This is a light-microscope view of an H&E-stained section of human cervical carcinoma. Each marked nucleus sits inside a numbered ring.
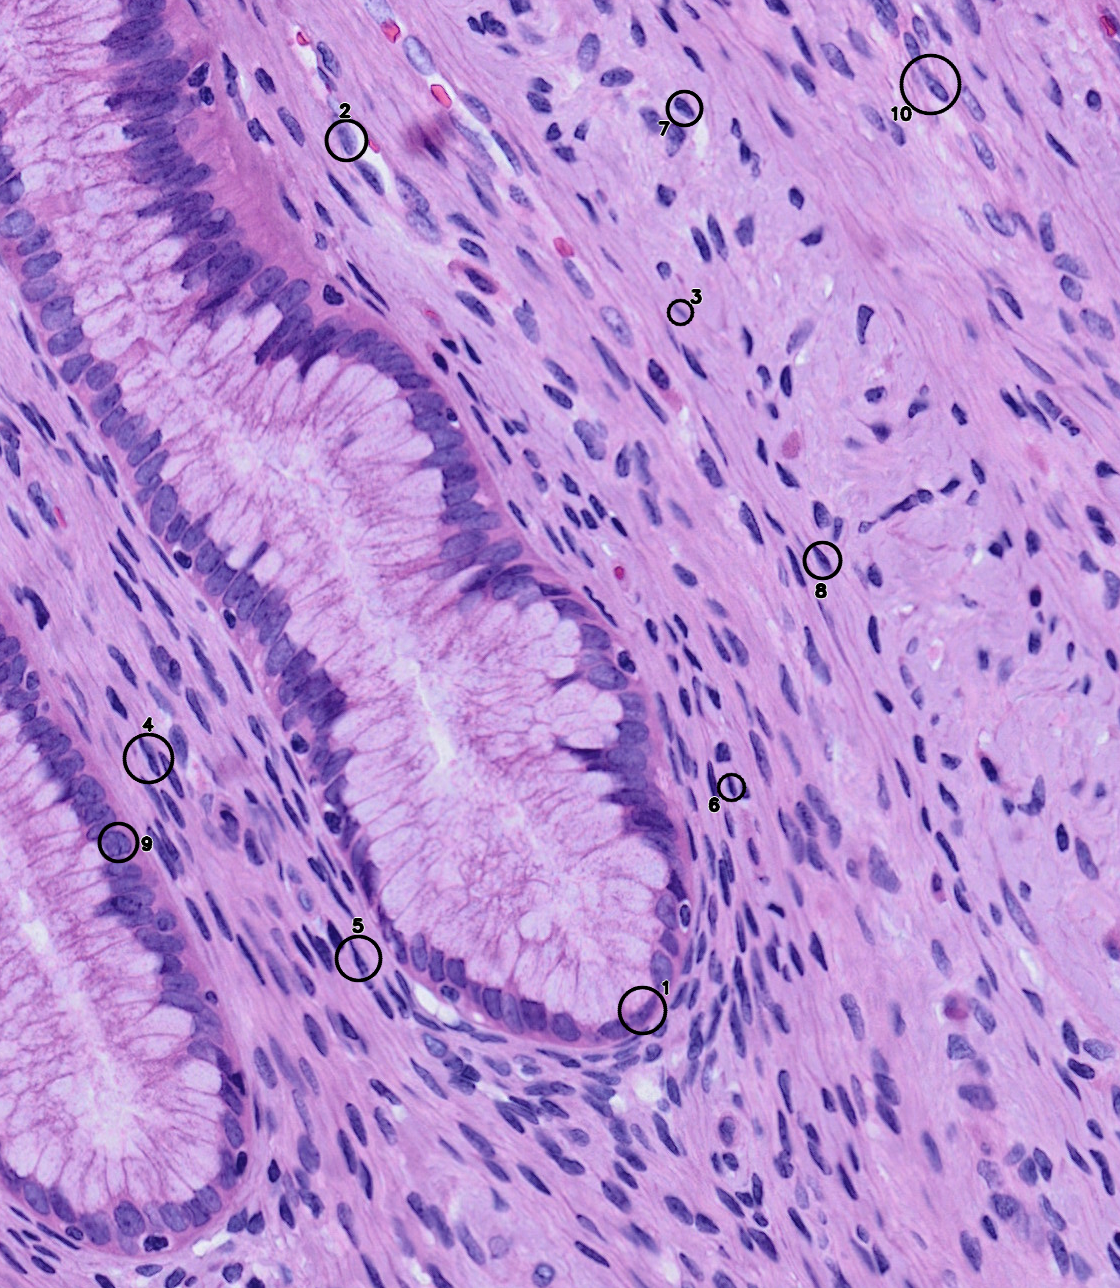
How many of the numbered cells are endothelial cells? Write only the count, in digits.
2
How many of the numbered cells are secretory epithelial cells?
2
